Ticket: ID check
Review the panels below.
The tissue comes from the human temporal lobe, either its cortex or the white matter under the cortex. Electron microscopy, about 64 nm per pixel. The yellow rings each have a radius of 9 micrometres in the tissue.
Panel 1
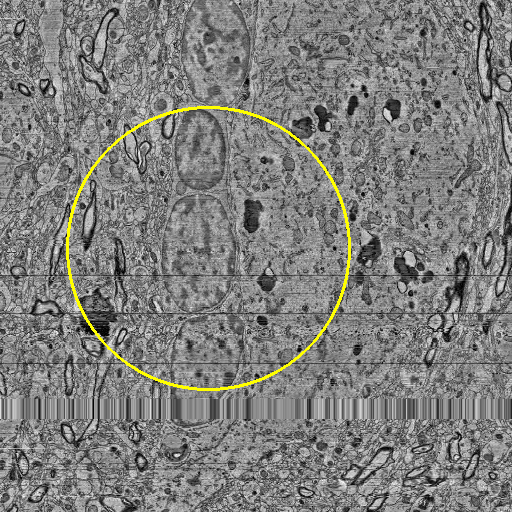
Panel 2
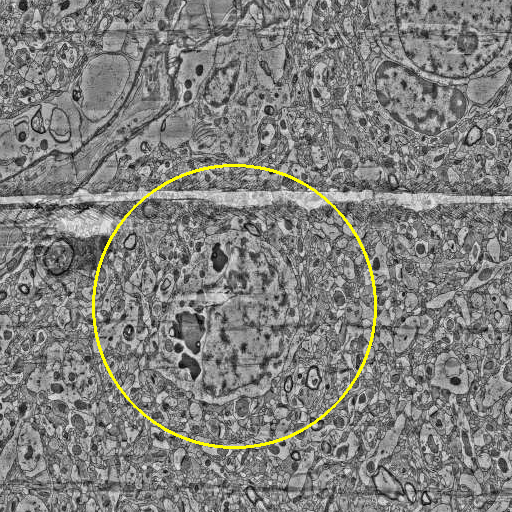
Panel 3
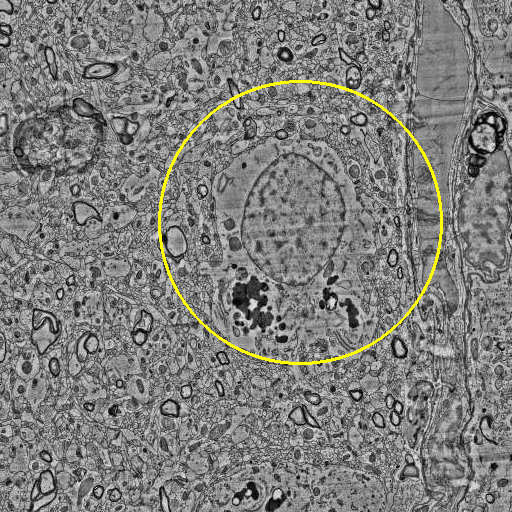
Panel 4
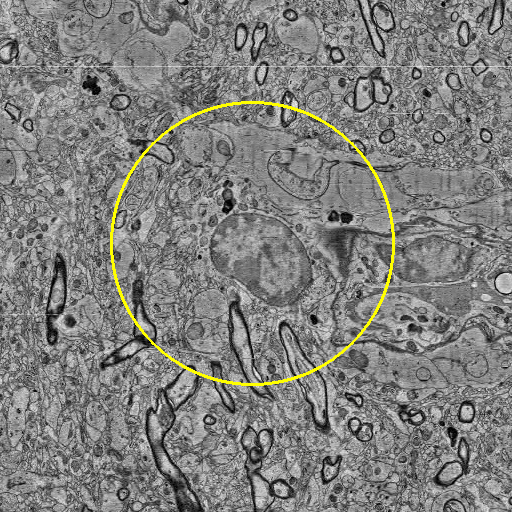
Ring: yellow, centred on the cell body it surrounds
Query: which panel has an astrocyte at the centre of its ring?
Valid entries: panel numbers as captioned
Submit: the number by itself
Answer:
3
